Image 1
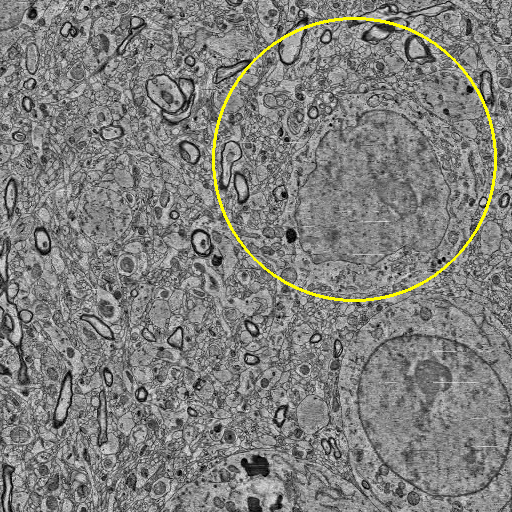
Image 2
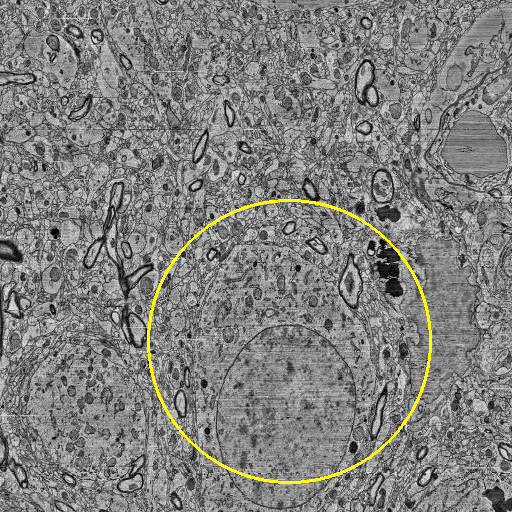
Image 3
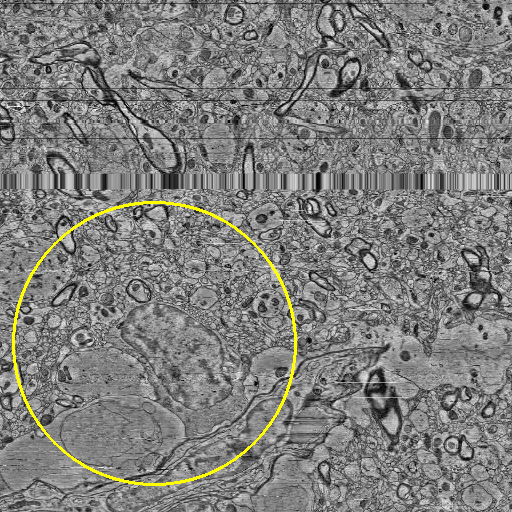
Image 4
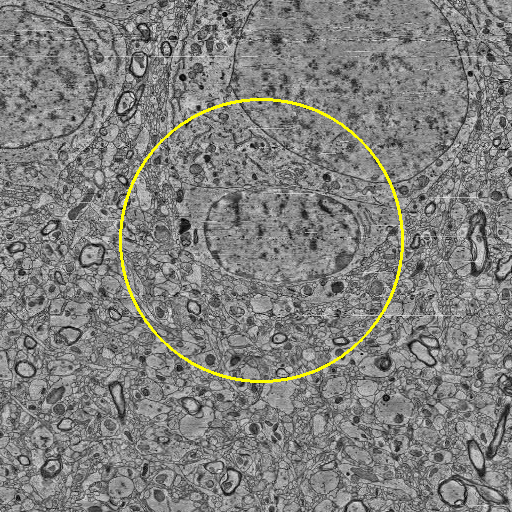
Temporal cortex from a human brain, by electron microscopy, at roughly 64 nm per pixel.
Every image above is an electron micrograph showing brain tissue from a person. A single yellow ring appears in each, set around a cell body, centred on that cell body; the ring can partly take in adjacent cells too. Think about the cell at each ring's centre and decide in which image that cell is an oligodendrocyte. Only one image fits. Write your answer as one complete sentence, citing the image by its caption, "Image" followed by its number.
Image 3 is the one whose ringed central cell fits the description.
